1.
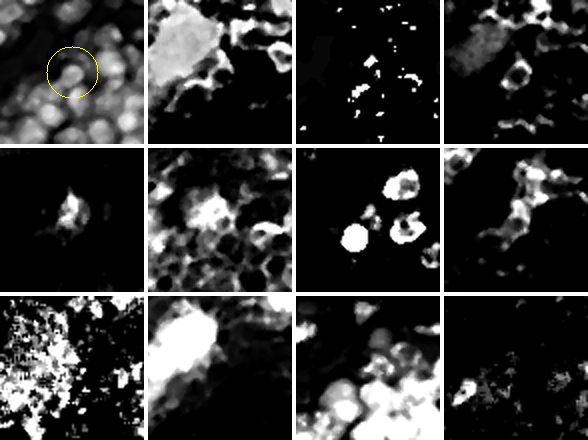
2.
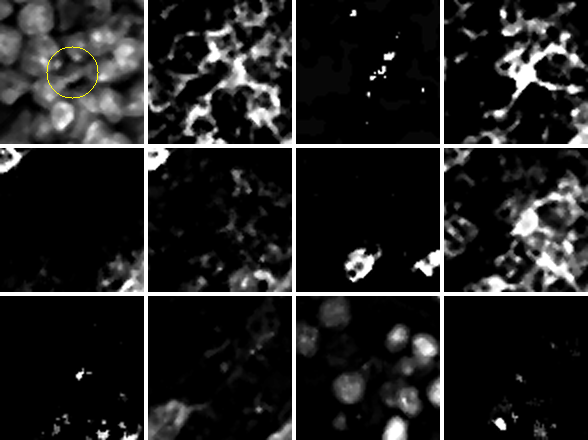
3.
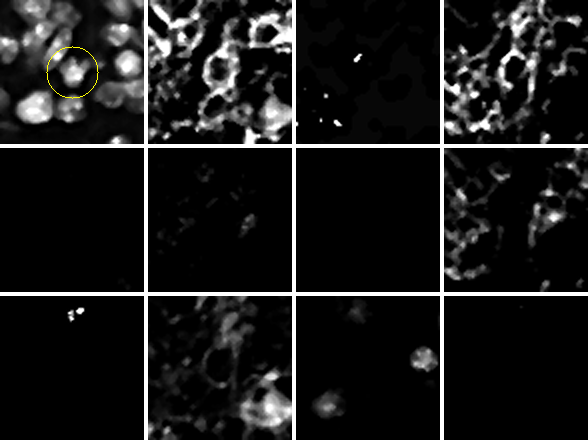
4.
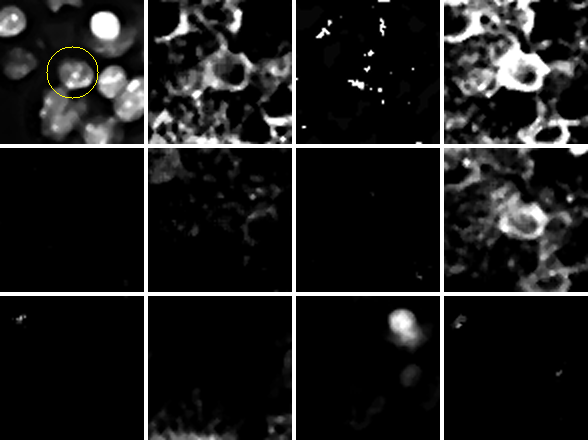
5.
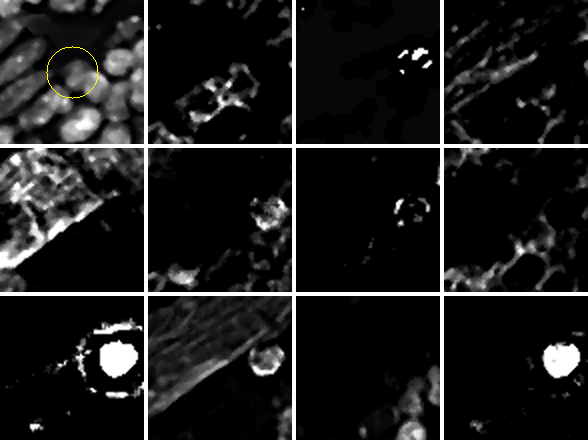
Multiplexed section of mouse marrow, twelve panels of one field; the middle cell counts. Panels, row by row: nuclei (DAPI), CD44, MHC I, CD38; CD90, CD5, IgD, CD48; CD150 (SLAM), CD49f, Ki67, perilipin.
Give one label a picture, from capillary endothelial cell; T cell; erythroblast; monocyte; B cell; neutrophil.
1: B cell
2: monocyte
3: neutrophil
4: monocyte
5: capillary endothelial cell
